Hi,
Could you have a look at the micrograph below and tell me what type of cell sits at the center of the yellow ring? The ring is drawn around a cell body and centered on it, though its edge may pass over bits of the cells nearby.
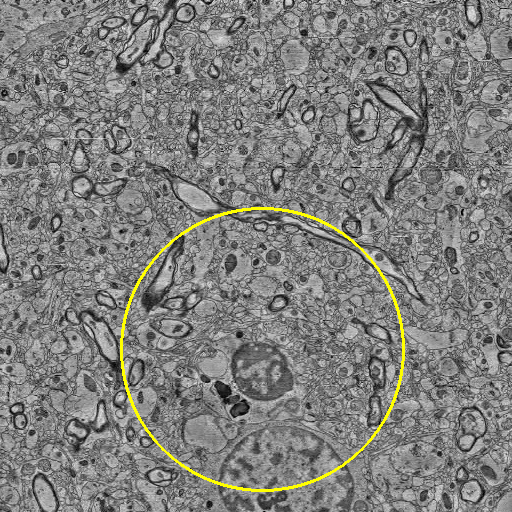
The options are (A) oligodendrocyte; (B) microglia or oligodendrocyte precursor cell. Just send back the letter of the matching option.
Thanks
B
